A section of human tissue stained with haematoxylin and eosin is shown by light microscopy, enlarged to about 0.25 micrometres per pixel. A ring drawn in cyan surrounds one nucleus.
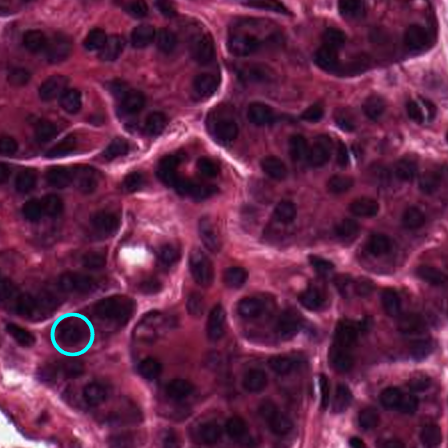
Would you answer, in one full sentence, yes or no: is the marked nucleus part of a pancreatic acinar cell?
Yes, the marked nucleus is that of a pancreatic acinar cell in this section.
